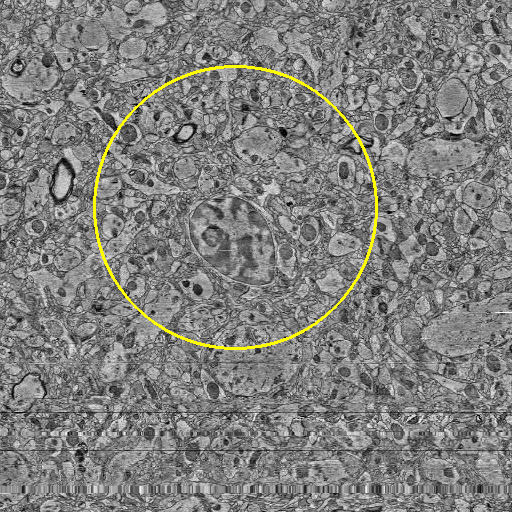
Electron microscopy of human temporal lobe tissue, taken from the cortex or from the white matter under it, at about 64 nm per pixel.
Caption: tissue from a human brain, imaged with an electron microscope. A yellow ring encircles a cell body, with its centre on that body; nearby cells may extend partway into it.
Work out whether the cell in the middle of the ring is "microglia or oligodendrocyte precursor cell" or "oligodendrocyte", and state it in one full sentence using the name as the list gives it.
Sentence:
In the picture, the cell that the yellow ring surrounds at its centre is a microglial cell or oligodendrocyte precursor cell.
